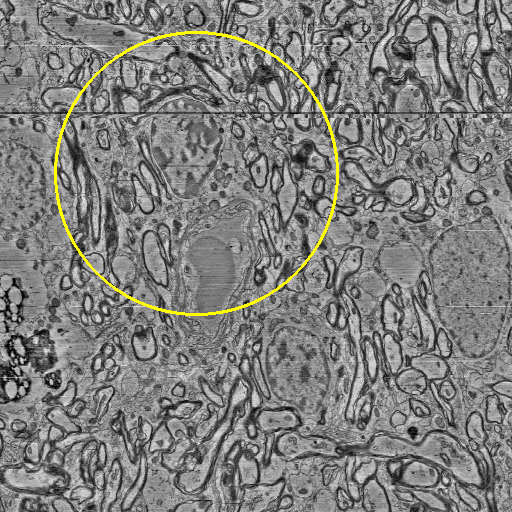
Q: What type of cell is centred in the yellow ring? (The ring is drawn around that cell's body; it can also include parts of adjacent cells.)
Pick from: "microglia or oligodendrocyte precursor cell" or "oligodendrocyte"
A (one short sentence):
The yellow ring is centred on a microglial cell or oligodendrocyte precursor cell.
